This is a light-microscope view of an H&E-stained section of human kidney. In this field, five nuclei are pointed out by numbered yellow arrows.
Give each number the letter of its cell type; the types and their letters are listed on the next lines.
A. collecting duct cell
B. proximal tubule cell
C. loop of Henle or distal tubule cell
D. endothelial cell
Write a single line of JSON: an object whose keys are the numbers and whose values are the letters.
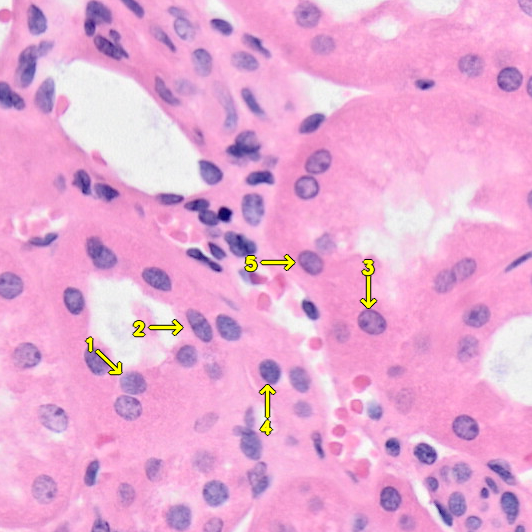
{"1": "C", "2": "C", "3": "B", "4": "C", "5": "B"}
